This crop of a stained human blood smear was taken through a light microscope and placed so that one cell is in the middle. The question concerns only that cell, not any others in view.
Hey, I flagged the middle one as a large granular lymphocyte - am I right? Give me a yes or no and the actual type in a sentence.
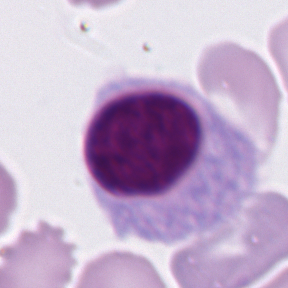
No, rather than a large granular lymphocyte, the central cell is a hairy cell.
